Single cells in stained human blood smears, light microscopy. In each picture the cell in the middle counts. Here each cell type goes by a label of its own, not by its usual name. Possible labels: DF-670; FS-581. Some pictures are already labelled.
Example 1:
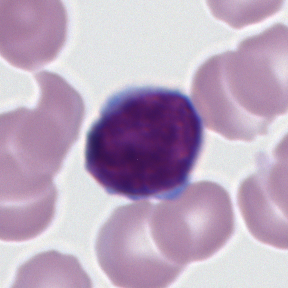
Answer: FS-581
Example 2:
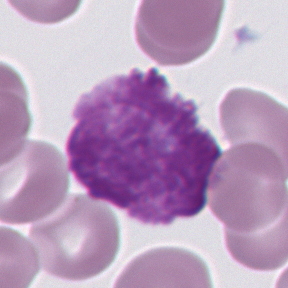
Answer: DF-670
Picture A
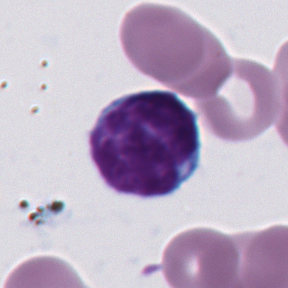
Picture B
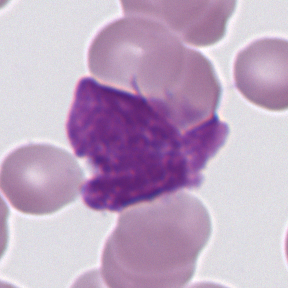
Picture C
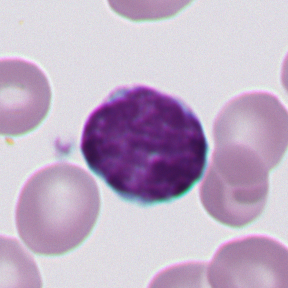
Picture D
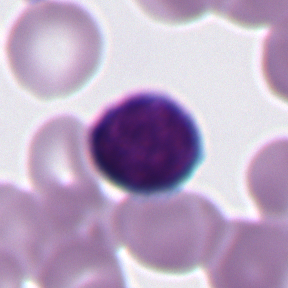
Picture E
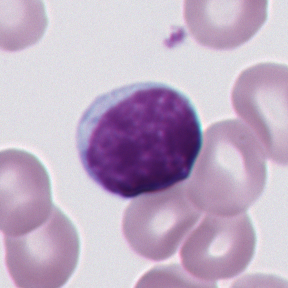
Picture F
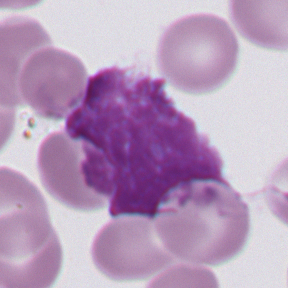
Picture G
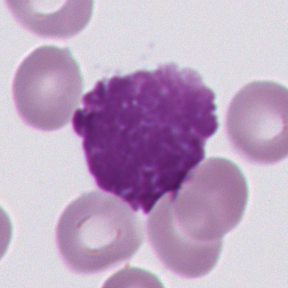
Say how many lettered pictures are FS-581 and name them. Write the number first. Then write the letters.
4: A, C, D, E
